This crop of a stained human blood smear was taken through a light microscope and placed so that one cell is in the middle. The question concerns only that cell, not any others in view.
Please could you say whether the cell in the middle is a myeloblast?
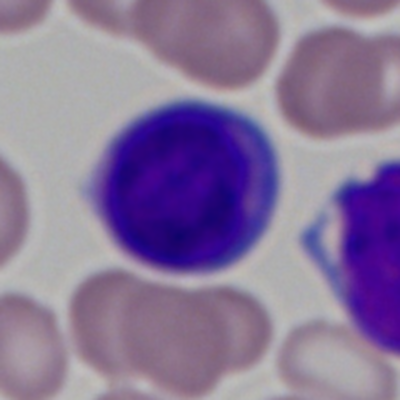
yes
